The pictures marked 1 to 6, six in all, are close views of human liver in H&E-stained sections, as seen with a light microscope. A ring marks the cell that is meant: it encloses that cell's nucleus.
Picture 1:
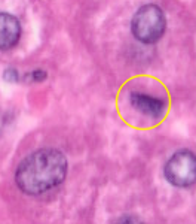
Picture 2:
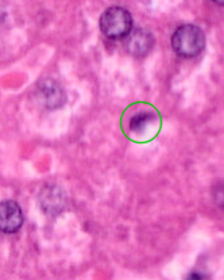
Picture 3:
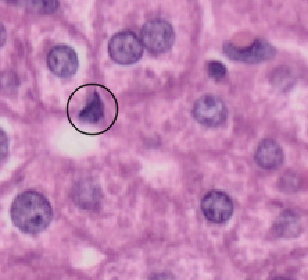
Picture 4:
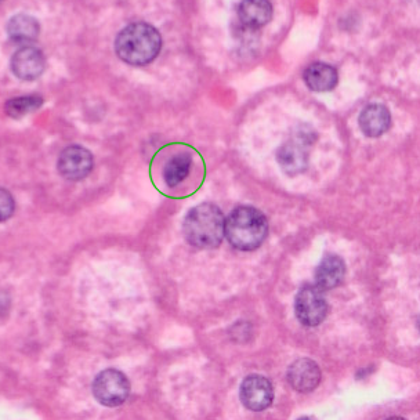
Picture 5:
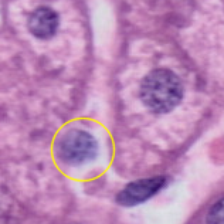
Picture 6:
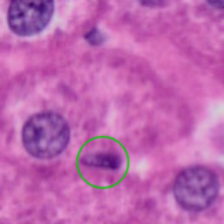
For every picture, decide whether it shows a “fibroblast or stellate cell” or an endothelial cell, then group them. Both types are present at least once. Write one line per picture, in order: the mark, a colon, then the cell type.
1: fibroblast or stellate cell
2: endothelial cell
3: fibroblast or stellate cell
4: fibroblast or stellate cell
5: endothelial cell
6: endothelial cell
